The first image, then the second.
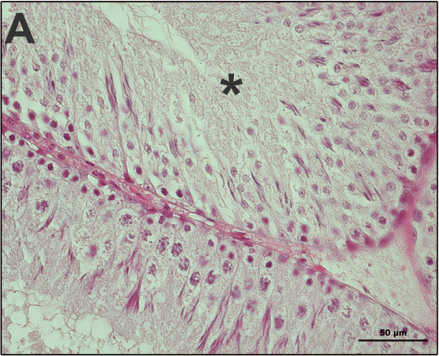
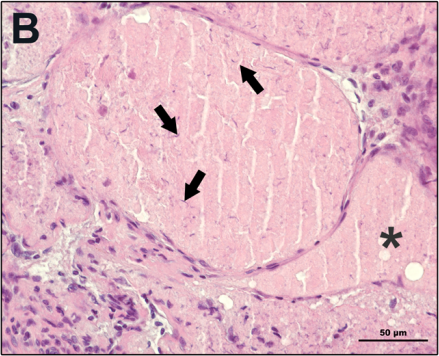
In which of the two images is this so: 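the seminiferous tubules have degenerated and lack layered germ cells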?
The second image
